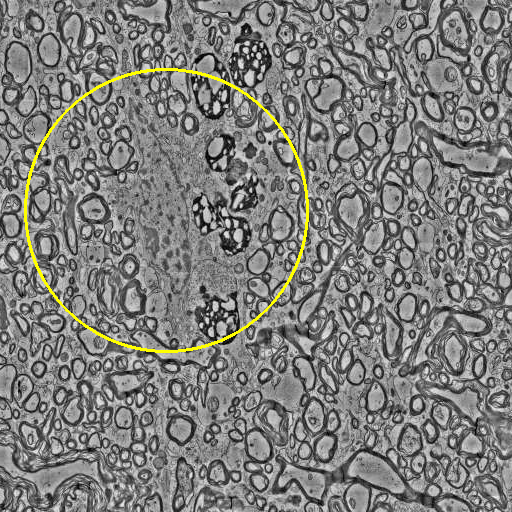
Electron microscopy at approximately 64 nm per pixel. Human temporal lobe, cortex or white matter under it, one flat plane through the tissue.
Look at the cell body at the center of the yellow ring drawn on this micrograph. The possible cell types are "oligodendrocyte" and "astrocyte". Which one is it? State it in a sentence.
The cell in the middle of the ring is an astrocyte.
